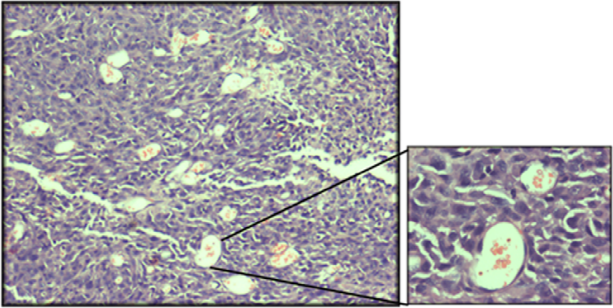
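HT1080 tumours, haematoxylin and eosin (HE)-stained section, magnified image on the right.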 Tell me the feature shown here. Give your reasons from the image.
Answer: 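Vascular channels. Many round to oval clear spaces are scattered through densely packed tissue. Several of the spaces contain small red-orange bodies. The magnified inset shows a round lumen surrounded by tissue.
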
